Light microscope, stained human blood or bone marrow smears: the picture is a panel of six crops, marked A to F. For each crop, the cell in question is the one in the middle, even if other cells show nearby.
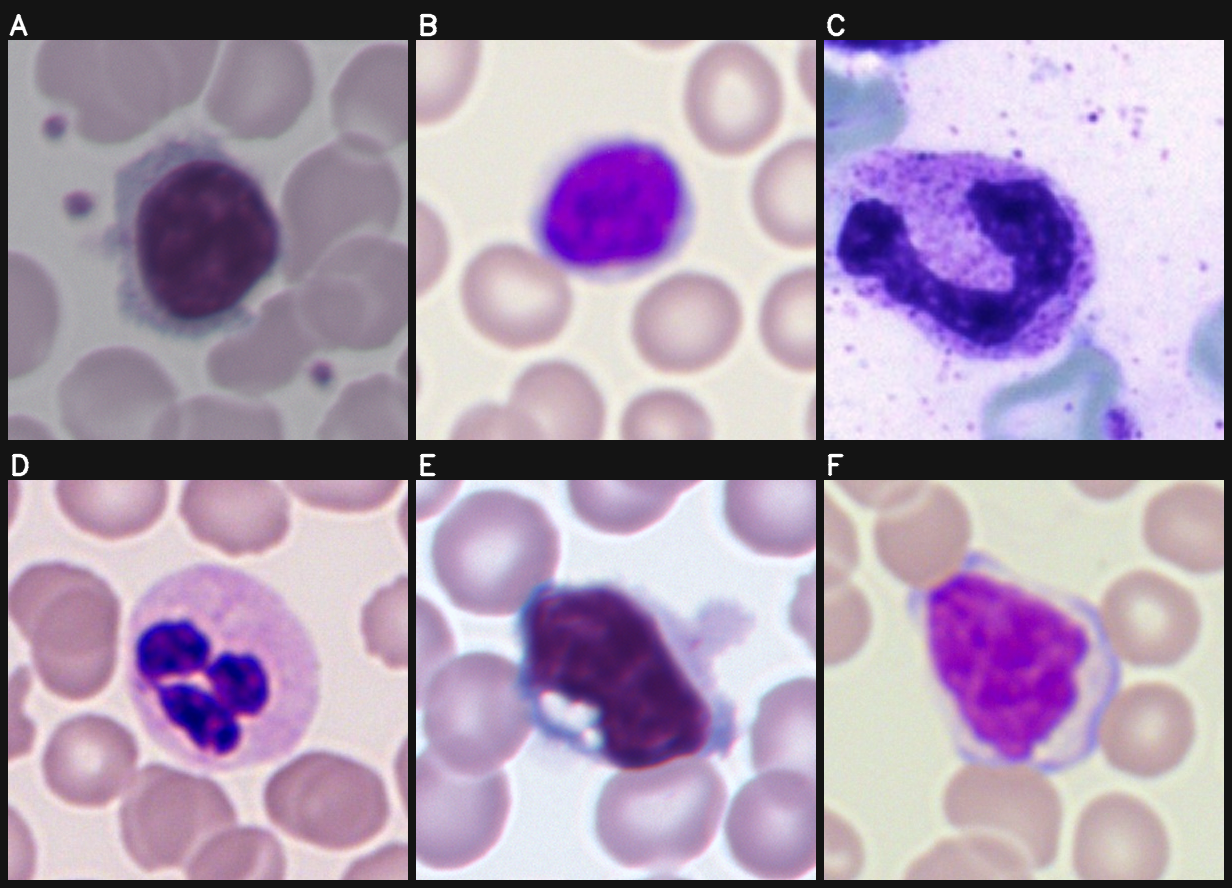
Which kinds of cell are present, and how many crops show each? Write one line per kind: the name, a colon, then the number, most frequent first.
lymphocyte: 4
neutrophil: 2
